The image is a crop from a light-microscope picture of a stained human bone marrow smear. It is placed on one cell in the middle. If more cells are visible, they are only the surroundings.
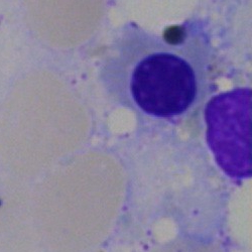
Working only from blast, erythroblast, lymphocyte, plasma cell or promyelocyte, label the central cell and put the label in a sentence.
Centrally within this crop lies an erythroblast.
